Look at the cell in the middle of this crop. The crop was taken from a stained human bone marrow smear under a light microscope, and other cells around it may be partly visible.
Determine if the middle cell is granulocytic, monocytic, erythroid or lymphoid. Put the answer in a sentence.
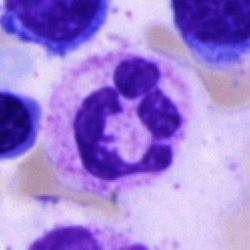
Our central cell here is part of the granulocytic lineage.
